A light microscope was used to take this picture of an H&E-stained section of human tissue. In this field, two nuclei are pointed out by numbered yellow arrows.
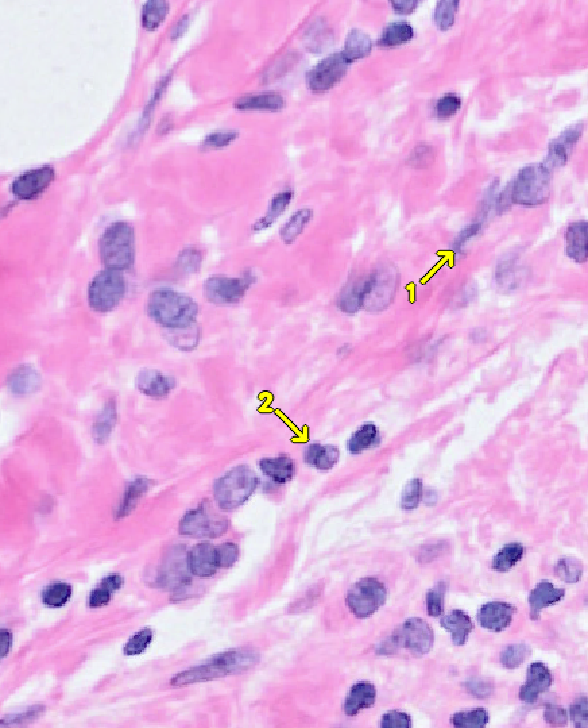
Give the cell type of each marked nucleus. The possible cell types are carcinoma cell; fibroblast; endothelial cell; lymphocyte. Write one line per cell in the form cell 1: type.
cell 1: fibroblast
cell 2: lymphocyte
